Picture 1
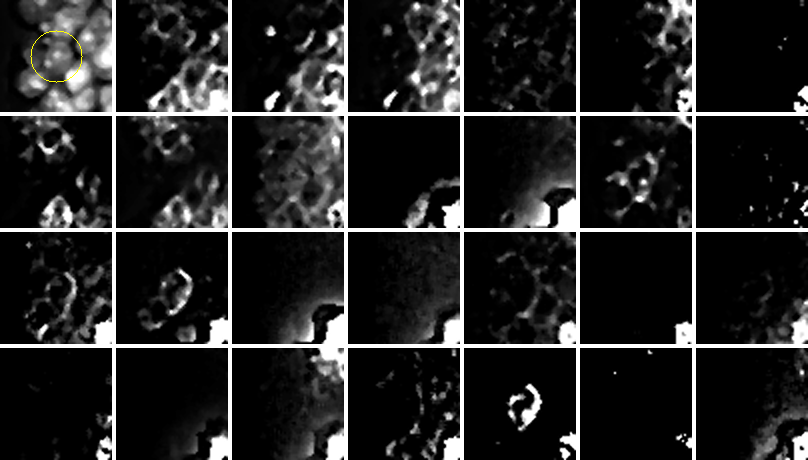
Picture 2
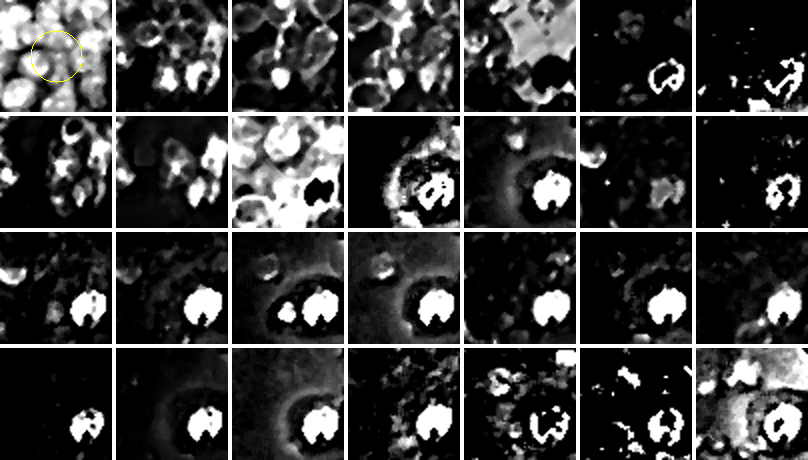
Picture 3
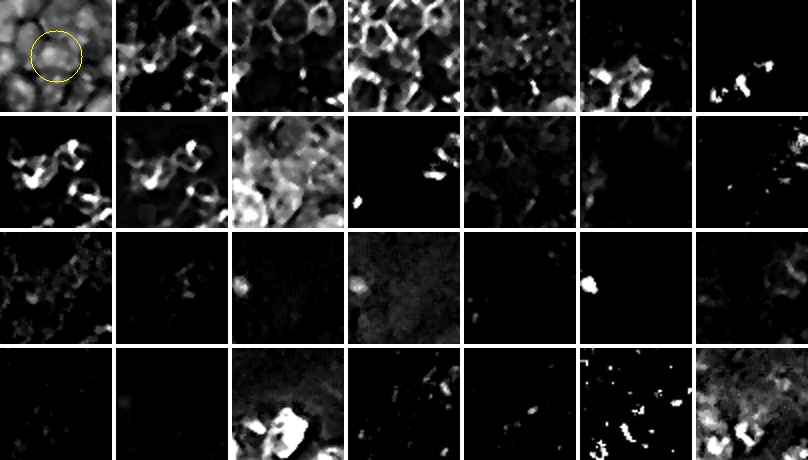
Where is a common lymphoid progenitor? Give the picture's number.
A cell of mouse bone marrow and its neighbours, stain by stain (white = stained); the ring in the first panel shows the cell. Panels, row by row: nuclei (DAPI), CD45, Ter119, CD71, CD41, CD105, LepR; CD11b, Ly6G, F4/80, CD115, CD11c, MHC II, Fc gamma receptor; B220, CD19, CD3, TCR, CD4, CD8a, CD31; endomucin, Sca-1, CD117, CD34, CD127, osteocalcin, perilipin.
1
